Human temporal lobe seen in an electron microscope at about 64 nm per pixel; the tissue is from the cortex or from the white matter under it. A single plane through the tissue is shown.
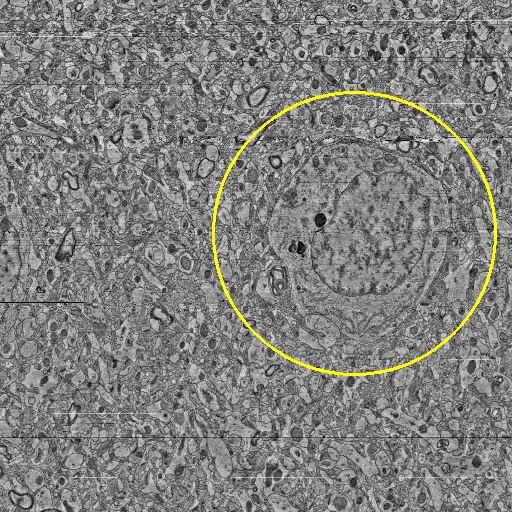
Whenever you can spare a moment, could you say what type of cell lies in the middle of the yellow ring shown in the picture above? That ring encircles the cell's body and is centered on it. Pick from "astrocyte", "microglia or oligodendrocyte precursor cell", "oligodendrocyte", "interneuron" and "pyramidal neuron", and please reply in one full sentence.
The cell whose body sits at the middle of the yellow ring is an interneuron.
